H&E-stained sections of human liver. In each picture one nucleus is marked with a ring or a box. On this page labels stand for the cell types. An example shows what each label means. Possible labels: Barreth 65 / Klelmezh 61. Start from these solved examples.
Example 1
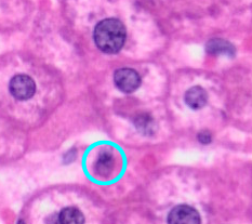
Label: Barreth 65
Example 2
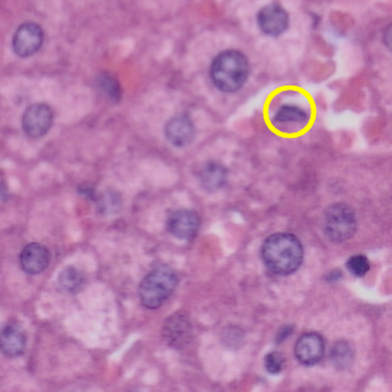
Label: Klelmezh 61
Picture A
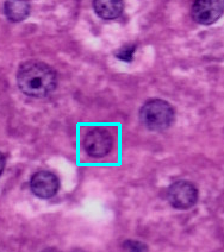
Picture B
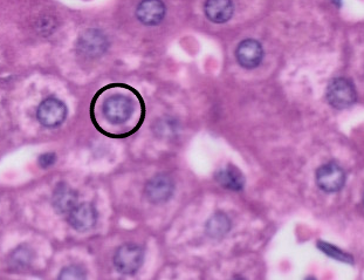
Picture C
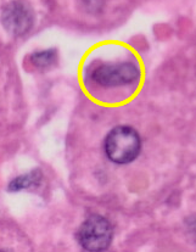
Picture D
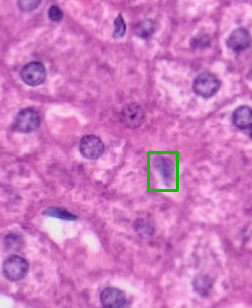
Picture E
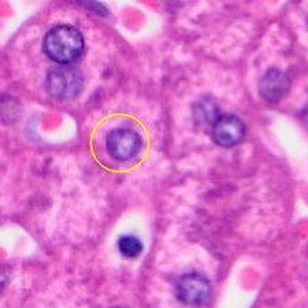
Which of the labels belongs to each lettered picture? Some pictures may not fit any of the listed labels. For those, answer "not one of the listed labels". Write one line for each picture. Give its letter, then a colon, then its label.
A: not one of the listed labels
B: not one of the listed labels
C: Barreth 65
D: Klelmezh 61
E: not one of the listed labels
